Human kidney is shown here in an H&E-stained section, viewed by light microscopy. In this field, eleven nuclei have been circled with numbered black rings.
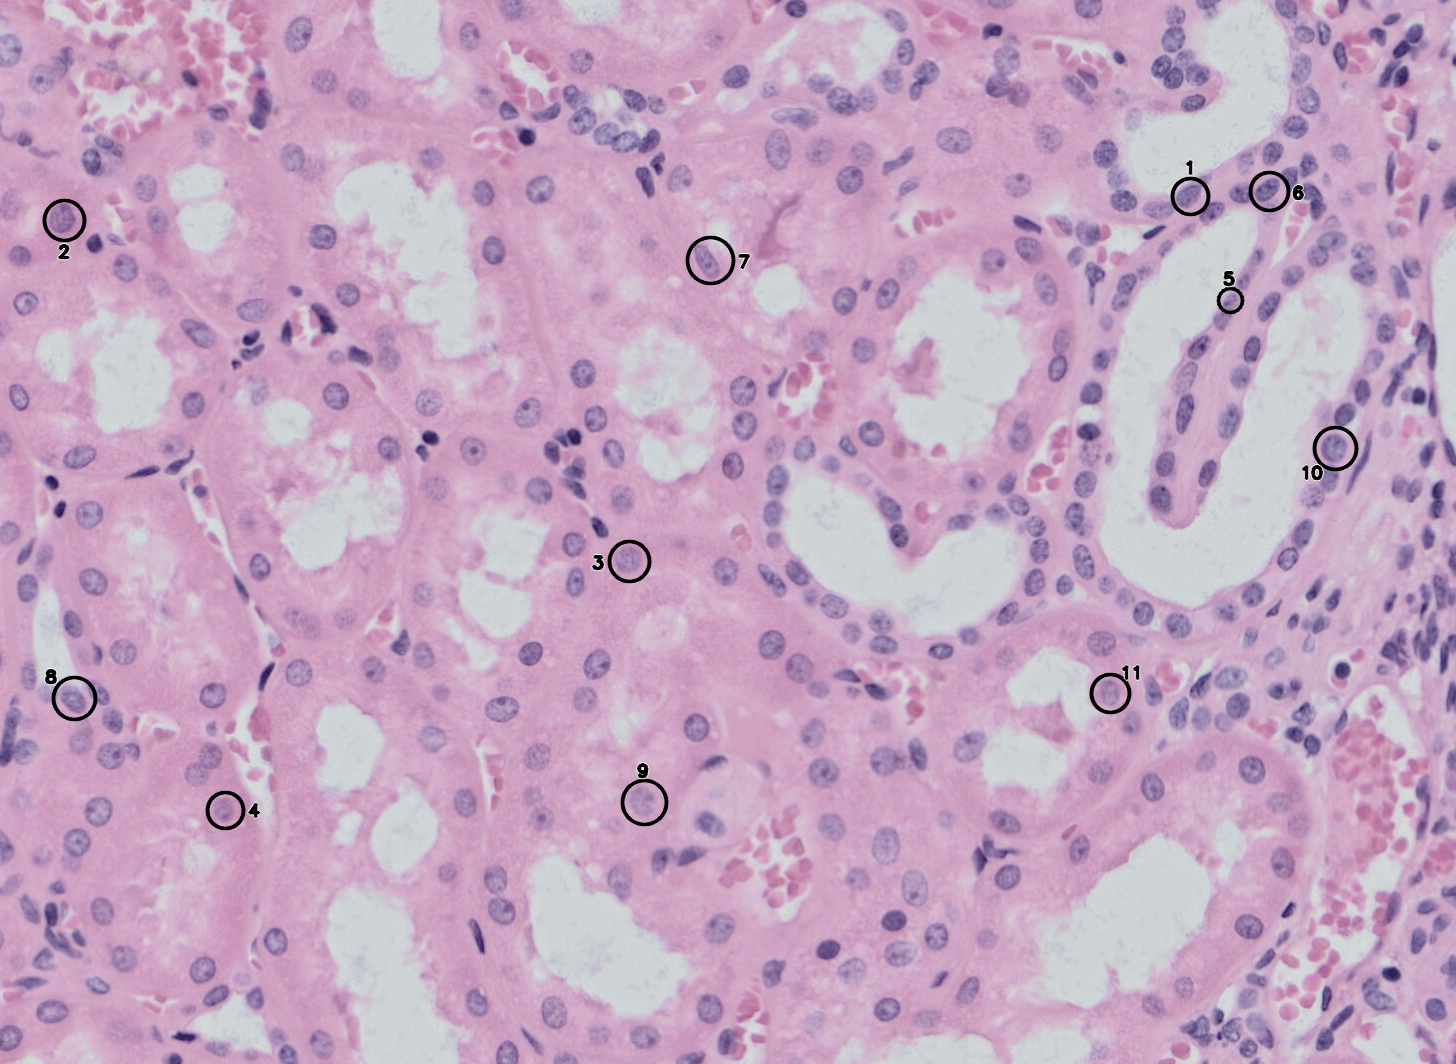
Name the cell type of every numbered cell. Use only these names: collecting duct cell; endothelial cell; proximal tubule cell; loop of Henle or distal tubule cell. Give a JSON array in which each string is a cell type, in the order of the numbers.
["collecting duct cell", "proximal tubule cell", "proximal tubule cell", "proximal tubule cell", "collecting duct cell", "collecting duct cell", "proximal tubule cell", "collecting duct cell", "proximal tubule cell", "collecting duct cell", "proximal tubule cell"]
